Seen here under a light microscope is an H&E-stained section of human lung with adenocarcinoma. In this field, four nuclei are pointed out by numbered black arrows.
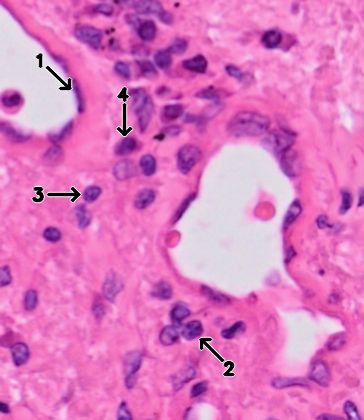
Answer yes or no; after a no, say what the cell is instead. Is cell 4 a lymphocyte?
No, it is a plasma cell.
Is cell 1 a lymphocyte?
No, it is an endothelial cell.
